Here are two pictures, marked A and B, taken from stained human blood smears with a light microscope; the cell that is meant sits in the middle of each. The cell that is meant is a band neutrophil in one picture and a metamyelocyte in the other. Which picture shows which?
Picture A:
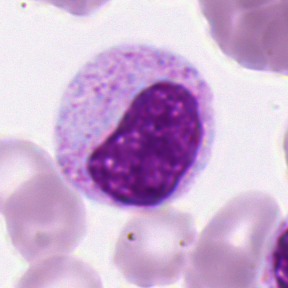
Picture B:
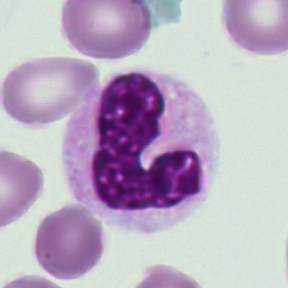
A: metamyelocyte
B: band neutrophil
